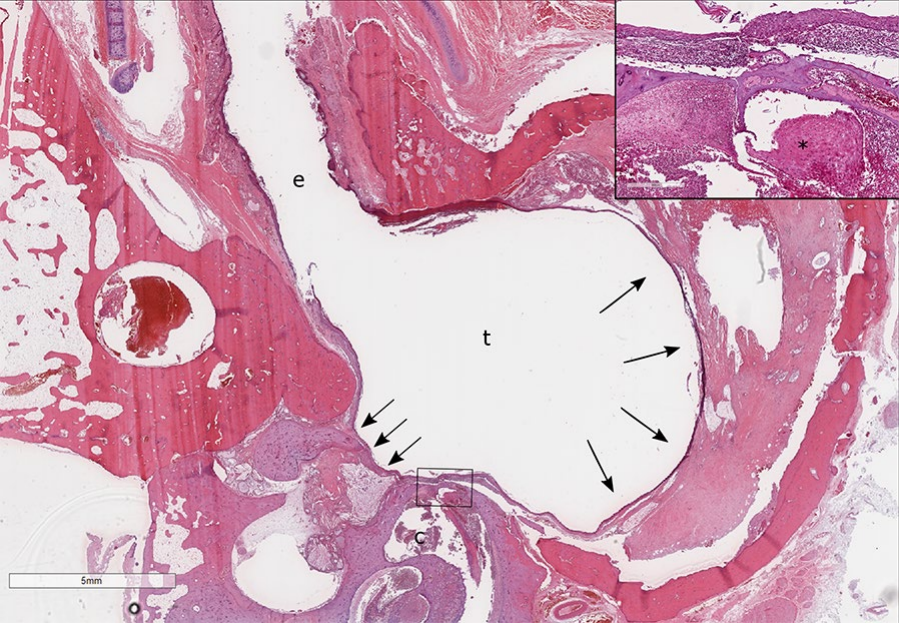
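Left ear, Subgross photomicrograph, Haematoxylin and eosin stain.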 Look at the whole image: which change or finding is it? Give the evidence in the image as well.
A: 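The canal at the top opens directly into the large central cavity with no membrane across the junction.
Hence: The tympanic membrane is not present.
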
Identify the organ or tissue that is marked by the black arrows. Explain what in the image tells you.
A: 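Keratinizing squamous epithelial layer. A thin purple lining runs along the wall of the large central cavity where the arrows point. The lining is continuous with that of the canal opening at the top of the cavity.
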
